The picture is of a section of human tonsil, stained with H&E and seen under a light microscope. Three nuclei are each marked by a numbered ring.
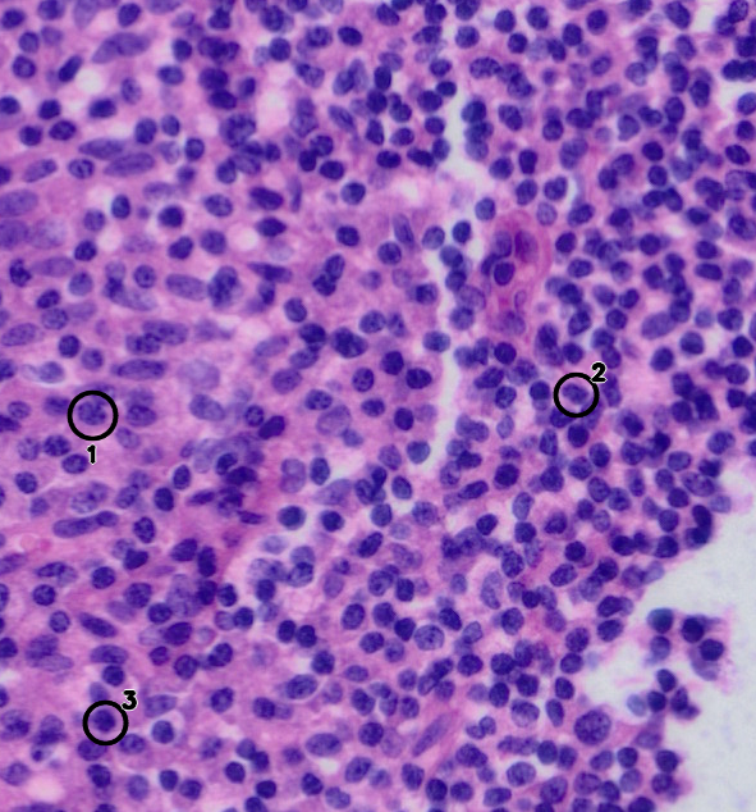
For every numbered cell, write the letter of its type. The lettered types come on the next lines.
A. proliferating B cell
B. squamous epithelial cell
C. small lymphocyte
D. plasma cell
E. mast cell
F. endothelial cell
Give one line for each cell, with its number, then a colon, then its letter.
1: D
2: C
3: D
